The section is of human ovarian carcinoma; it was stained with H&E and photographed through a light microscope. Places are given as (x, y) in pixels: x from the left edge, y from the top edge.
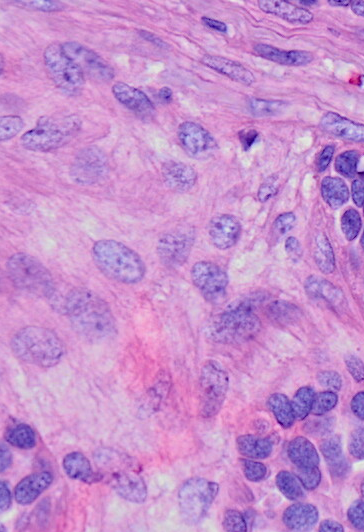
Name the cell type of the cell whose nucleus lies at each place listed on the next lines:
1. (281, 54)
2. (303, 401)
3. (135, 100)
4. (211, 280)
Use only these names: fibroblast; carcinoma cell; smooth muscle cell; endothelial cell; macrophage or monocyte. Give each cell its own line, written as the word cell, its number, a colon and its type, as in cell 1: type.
cell 1: fibroblast
cell 2: carcinoma cell
cell 3: fibroblast
cell 4: fibroblast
